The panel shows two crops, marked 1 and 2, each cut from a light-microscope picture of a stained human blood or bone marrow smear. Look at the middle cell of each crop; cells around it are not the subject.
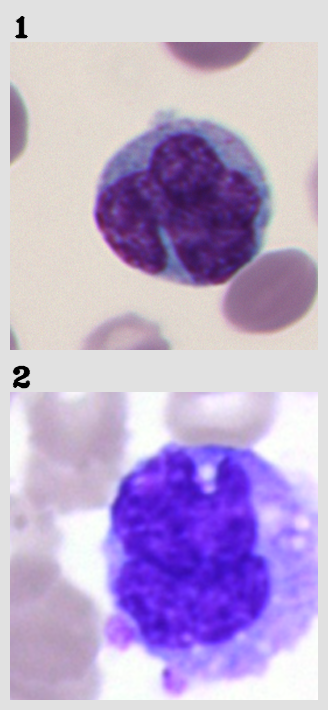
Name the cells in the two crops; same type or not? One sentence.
Yes, the cells at the centres of the two crops are monocytes.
